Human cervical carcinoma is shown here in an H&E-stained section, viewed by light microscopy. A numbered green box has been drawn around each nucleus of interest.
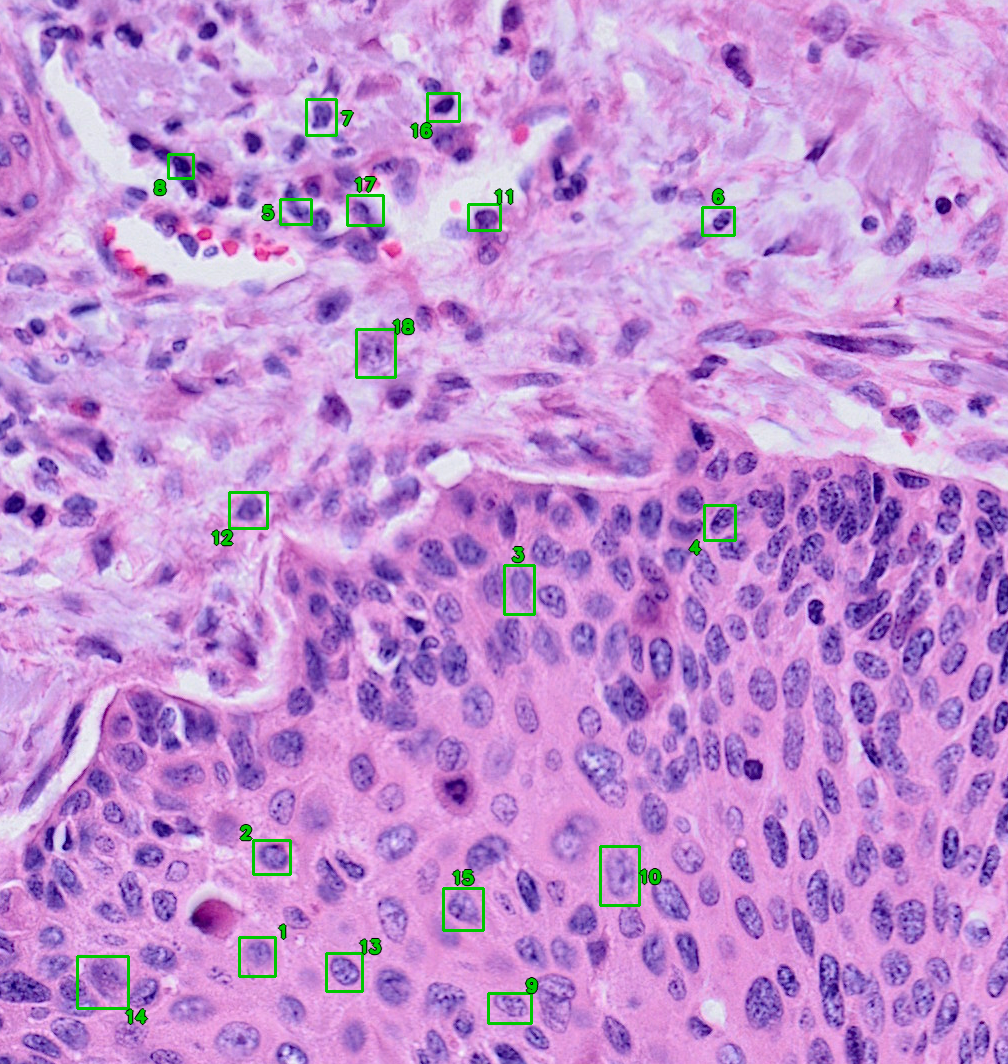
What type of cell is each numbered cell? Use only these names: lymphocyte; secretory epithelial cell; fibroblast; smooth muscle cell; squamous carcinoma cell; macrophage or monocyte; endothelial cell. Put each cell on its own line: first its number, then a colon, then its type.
1: squamous carcinoma cell
2: squamous carcinoma cell
3: squamous carcinoma cell
4: squamous carcinoma cell
5: lymphocyte
6: lymphocyte
7: lymphocyte
8: lymphocyte
9: squamous carcinoma cell
10: squamous carcinoma cell
11: endothelial cell
12: macrophage or monocyte
13: squamous carcinoma cell
14: squamous carcinoma cell
15: squamous carcinoma cell
16: lymphocyte
17: endothelial cell
18: fibroblast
